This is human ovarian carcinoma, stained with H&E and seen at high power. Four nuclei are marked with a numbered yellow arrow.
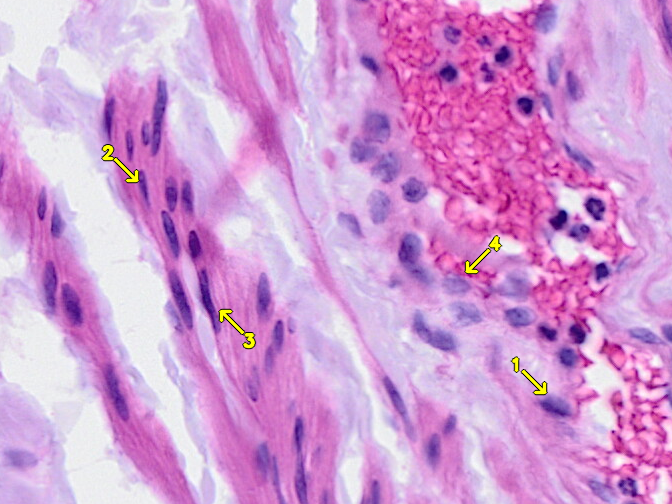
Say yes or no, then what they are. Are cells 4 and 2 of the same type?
No, cell 4 is an endothelial cell and cell 2 is a smooth muscle cell.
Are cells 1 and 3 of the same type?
No, cell 1 is an endothelial cell and cell 3 is a smooth muscle cell.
